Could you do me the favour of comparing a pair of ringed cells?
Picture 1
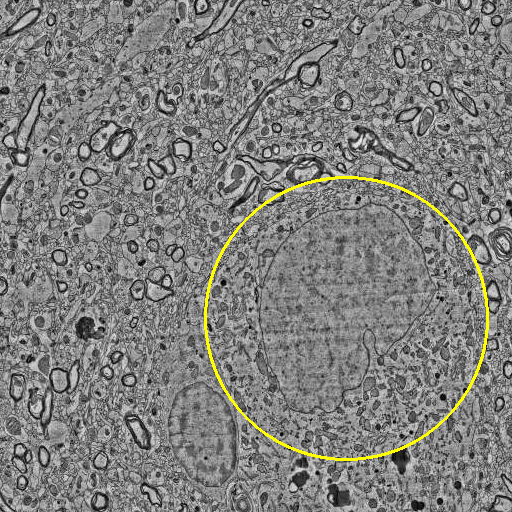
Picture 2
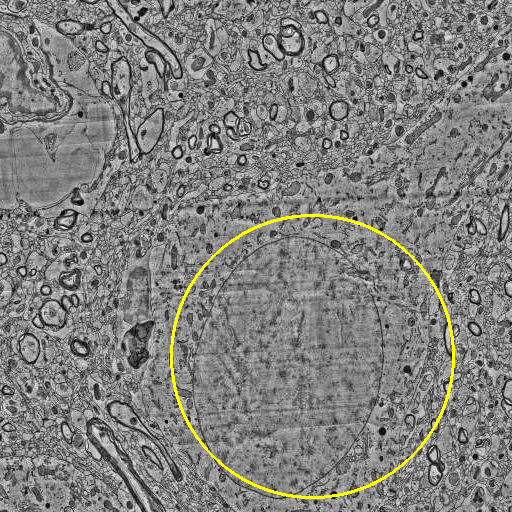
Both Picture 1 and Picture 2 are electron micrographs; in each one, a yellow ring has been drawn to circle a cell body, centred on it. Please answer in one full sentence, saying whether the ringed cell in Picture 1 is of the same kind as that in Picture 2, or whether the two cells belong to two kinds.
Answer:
The ringed cell in Picture 1 is of the same kind as that in Picture 2.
